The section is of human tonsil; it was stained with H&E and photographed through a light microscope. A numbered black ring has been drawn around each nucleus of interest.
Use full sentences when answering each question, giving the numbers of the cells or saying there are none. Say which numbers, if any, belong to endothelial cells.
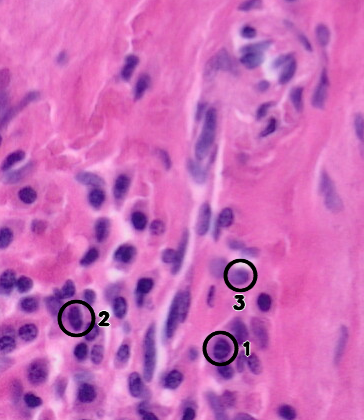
Among the numbered cells, the one that is an endothelial cell is cell 3 alone.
